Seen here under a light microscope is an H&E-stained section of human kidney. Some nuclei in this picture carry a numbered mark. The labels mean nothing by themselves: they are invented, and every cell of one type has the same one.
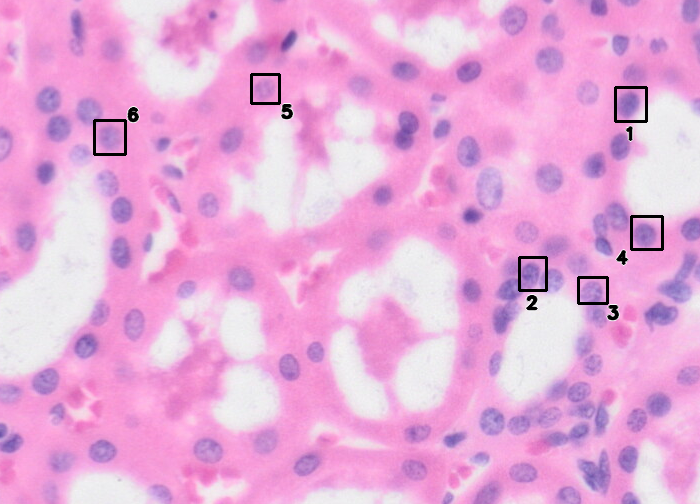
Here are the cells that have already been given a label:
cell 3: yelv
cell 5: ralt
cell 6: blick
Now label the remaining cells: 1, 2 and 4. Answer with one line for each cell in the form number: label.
1: blick
2: yelv
4: blick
